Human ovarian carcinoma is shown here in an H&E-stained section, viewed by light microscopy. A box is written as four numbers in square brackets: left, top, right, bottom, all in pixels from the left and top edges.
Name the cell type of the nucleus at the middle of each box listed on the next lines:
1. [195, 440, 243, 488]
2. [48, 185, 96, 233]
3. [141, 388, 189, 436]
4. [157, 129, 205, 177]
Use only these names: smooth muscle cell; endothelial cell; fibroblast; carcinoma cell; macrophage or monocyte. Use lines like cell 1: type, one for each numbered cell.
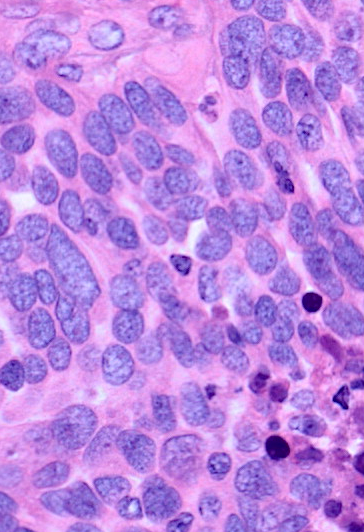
cell 1: macrophage or monocyte
cell 2: carcinoma cell
cell 3: carcinoma cell
cell 4: carcinoma cell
